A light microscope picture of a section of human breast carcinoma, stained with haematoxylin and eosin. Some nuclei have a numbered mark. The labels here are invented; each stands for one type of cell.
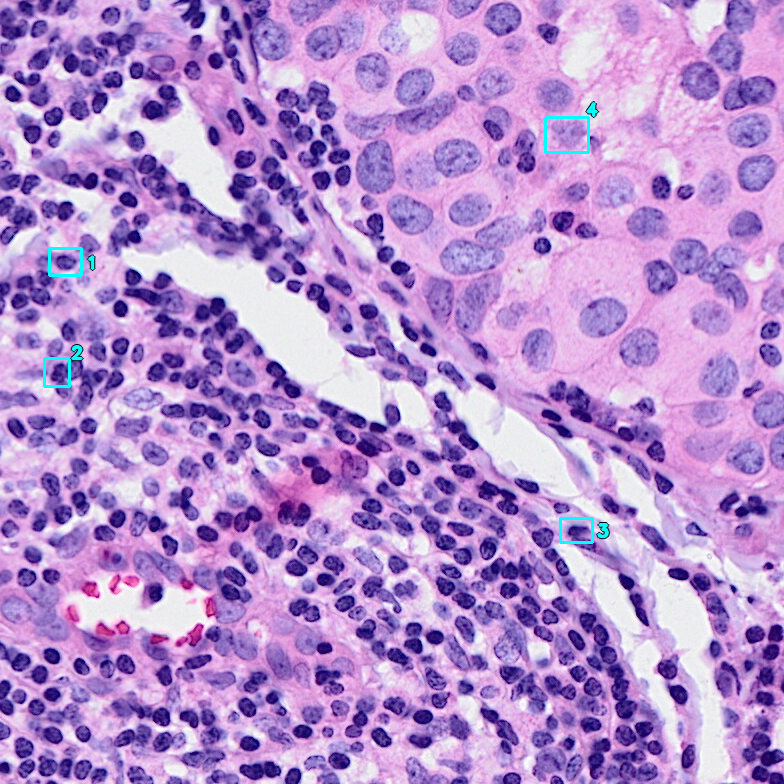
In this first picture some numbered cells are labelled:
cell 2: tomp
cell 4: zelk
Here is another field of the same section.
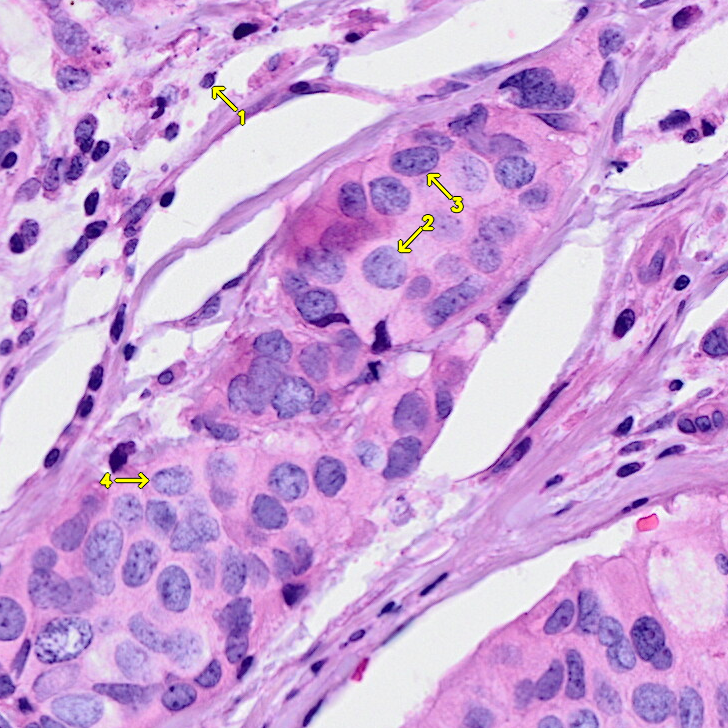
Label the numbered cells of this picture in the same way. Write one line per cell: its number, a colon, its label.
1: tomp
2: zelk
3: zelk
4: zelk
